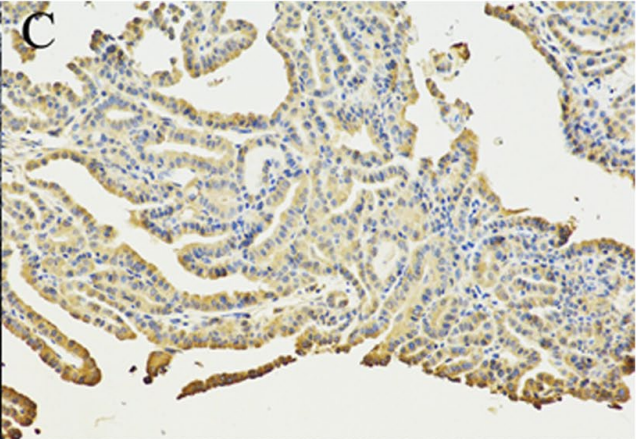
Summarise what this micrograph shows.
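This is tumour tissue in which malignant epithelial cells cover branching, finger-like fronds that project into clear spaces. The cells are cuboidal to columnar, crowded in one or a few layers along each frond, with blue oval nuclei. Their cytoplasm is stained brown, most intensely along the free surfaces of the fronds, while the thin pale cores of the fronds are stained less.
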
